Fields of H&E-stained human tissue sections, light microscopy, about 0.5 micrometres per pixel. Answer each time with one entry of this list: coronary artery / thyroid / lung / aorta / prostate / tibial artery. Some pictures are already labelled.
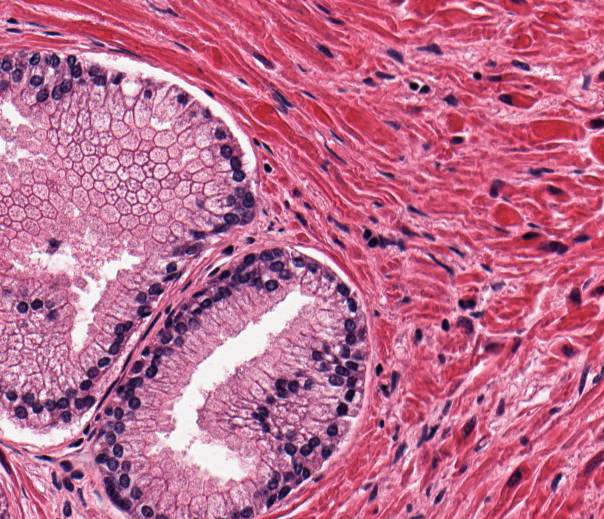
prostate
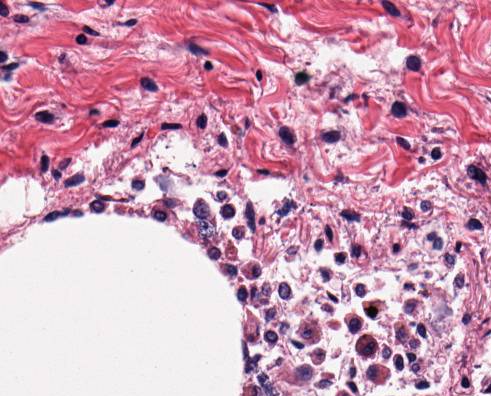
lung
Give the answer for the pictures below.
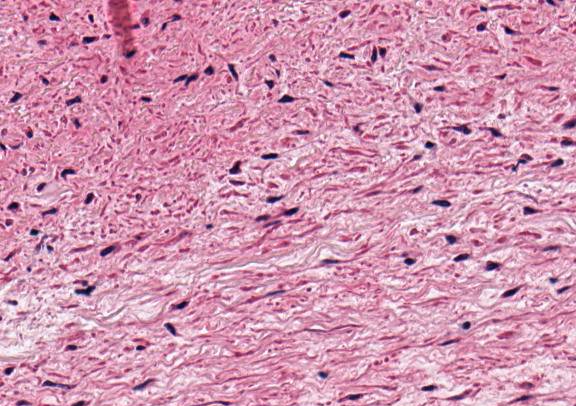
coronary artery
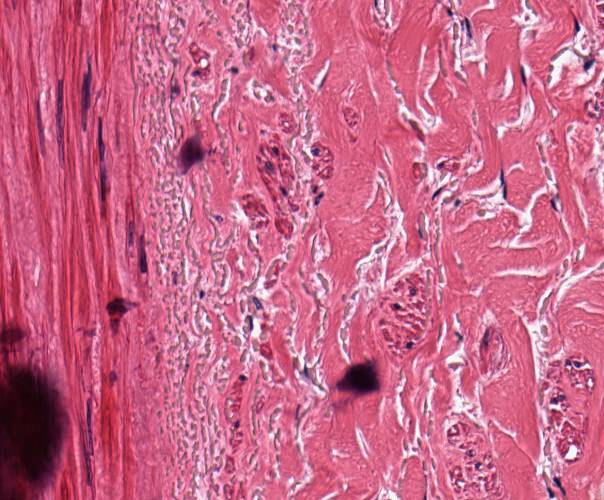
tibial artery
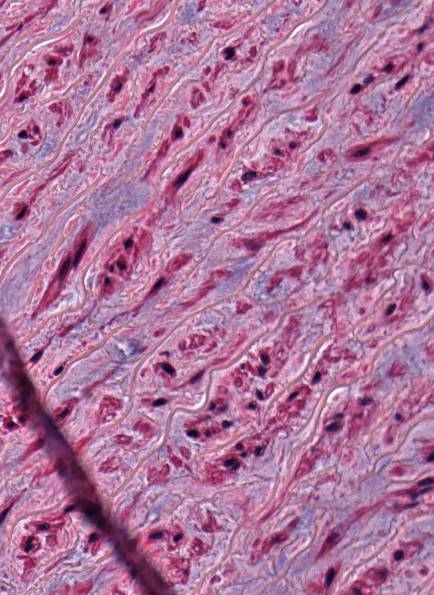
aorta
